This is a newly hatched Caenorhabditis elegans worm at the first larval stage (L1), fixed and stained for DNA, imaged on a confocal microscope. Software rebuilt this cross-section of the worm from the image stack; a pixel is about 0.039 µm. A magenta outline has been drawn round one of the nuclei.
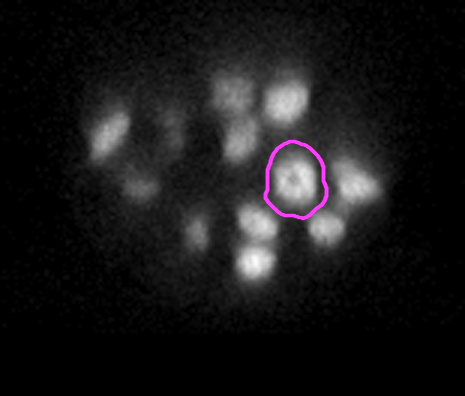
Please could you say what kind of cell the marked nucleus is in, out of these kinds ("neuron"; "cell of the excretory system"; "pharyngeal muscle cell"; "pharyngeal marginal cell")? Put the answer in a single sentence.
The marked cell is a pharyngeal marginal cell.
